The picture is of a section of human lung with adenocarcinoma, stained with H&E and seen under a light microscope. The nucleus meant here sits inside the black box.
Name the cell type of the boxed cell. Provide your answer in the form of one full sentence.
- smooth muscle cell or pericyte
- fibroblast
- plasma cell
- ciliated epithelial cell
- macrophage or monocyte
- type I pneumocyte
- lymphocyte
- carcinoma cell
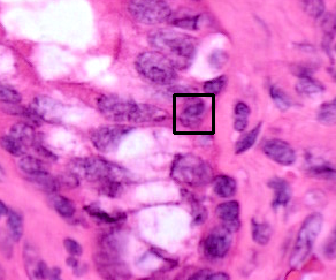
It is as a ciliated epithelial cell that the boxed cell is recorded.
